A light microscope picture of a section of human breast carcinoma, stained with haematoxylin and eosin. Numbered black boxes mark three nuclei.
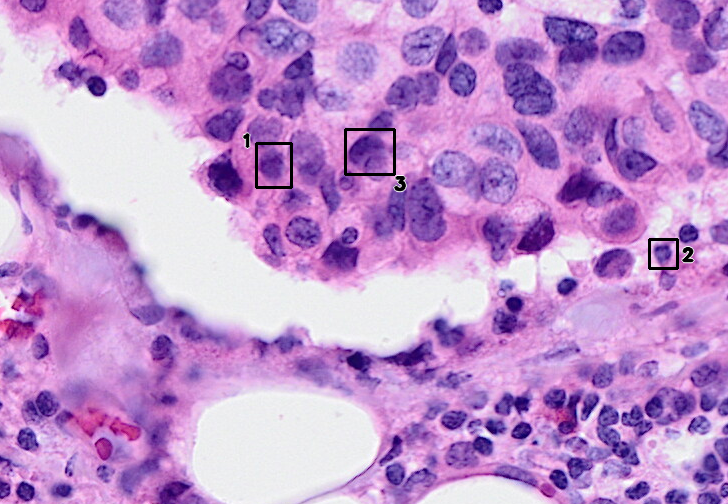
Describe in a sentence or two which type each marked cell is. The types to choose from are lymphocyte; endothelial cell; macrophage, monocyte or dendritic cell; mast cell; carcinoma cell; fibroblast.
Cells 1 and 3 are carcinoma cells. Cell 2 is a lymphocyte.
